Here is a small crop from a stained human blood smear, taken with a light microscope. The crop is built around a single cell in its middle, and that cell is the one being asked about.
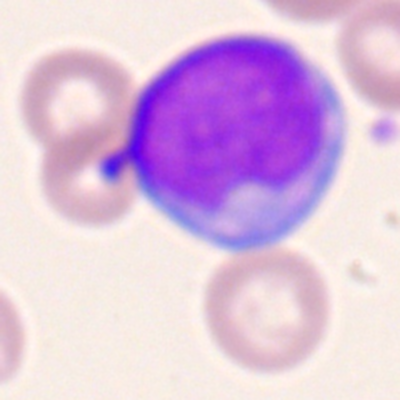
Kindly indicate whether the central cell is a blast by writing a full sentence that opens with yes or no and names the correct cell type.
Yes, a blast occupies the middle of the crop.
